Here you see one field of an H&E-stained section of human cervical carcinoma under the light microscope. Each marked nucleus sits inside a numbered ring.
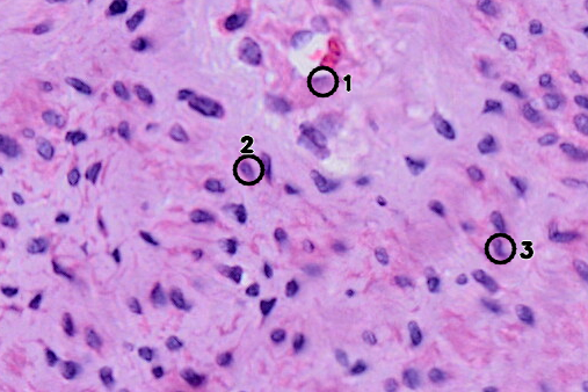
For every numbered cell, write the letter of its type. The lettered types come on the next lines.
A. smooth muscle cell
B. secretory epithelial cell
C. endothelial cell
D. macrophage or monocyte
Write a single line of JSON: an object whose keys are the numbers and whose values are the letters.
{"1": "C", "2": "A", "3": "A"}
